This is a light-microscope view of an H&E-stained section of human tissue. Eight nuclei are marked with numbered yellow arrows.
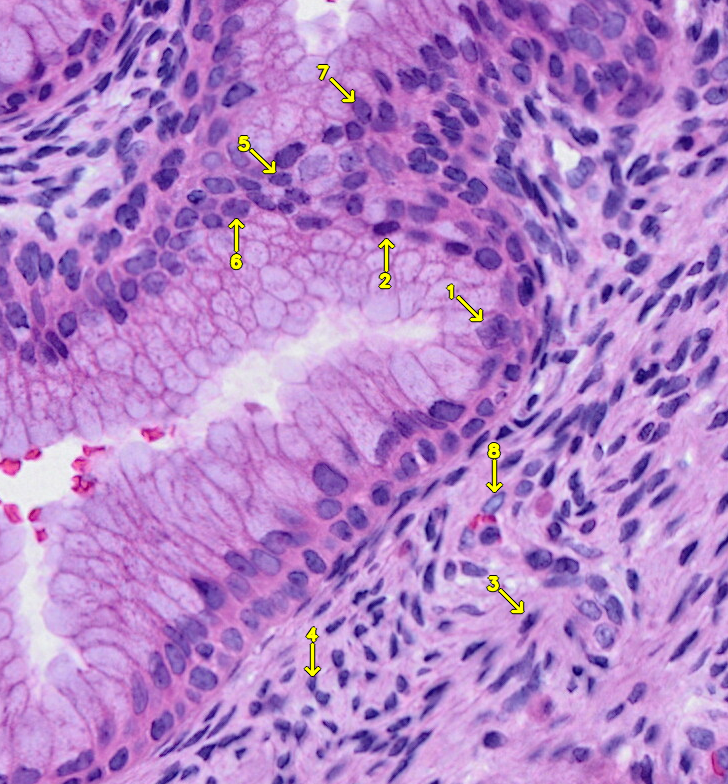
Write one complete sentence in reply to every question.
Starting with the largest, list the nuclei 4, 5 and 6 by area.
From largest to smallest, the order is 6, 5, 4.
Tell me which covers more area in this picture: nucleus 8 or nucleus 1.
Nucleus 1 is the larger one, covering about 2 times the area of nucleus 8.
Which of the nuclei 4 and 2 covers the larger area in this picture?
Of the two, number 2 is bigger and takes up about 2 times the area of number 4.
